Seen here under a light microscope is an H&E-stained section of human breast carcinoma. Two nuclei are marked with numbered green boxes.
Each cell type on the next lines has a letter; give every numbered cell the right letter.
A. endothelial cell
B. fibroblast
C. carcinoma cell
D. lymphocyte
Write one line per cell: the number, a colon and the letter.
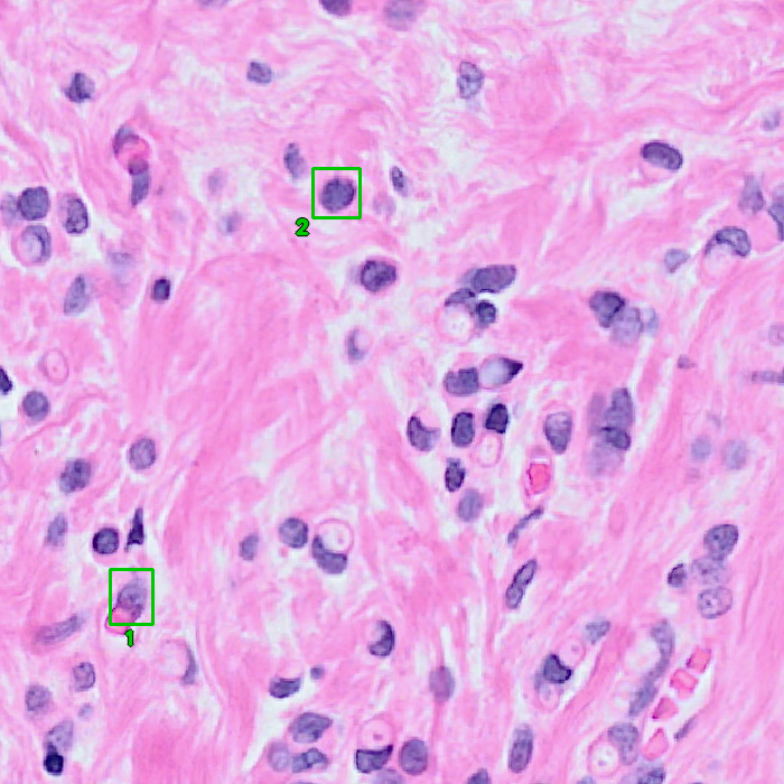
1: A
2: C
